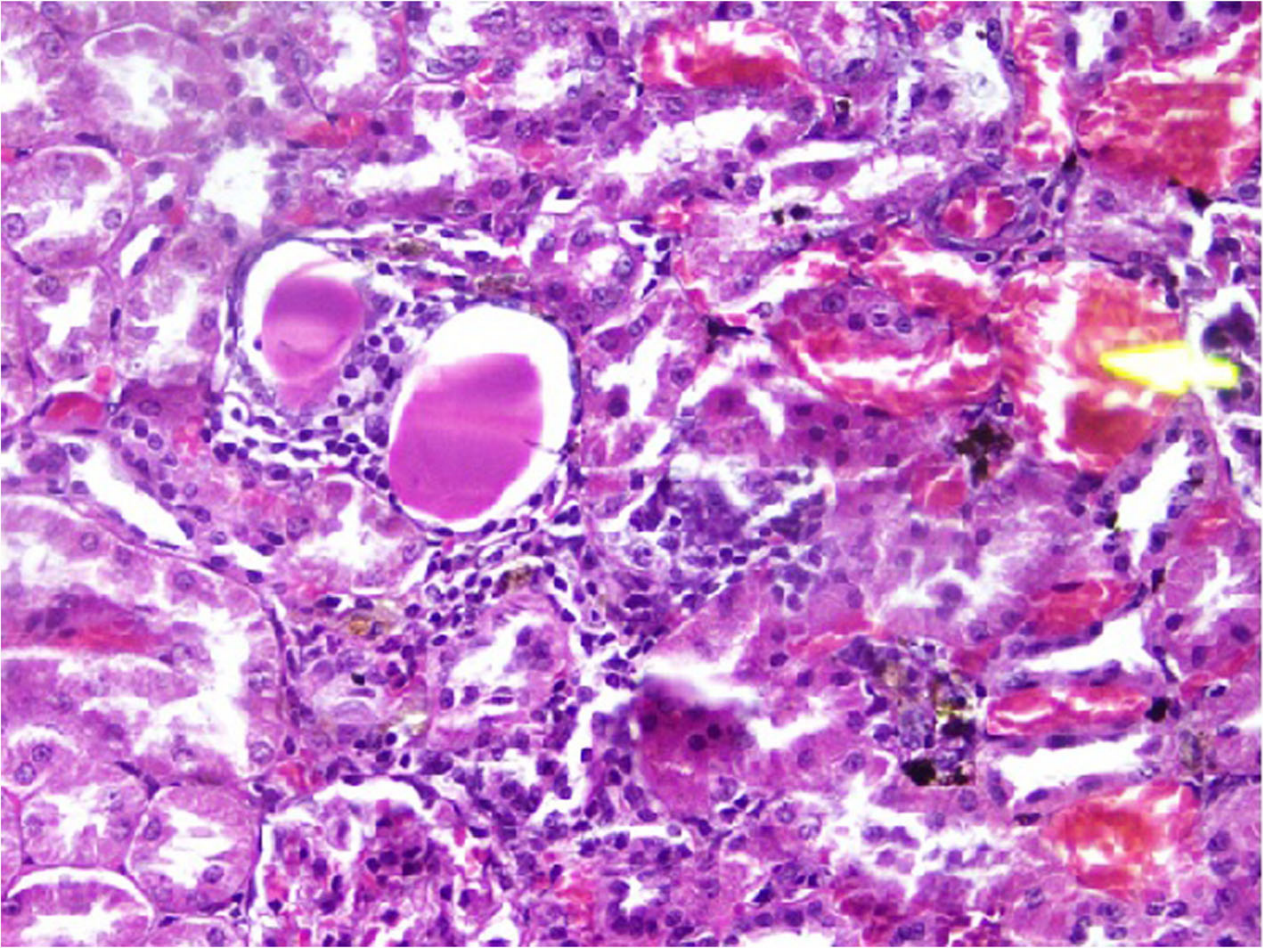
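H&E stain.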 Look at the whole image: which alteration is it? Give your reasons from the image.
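Dense clusters of small, round, dark-staining nuclei lie between the tubules, left of centre. The small round cells crowd around two tubules that contain homogeneous pink material. So: chronic inflammatory cell infiltrates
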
